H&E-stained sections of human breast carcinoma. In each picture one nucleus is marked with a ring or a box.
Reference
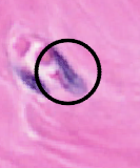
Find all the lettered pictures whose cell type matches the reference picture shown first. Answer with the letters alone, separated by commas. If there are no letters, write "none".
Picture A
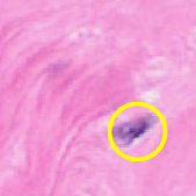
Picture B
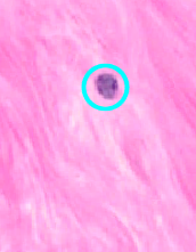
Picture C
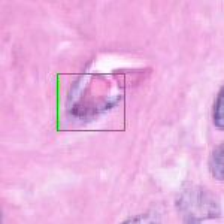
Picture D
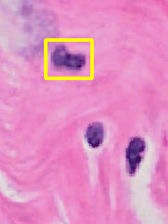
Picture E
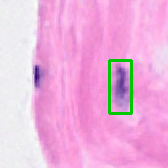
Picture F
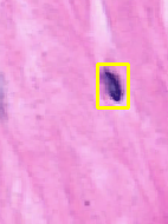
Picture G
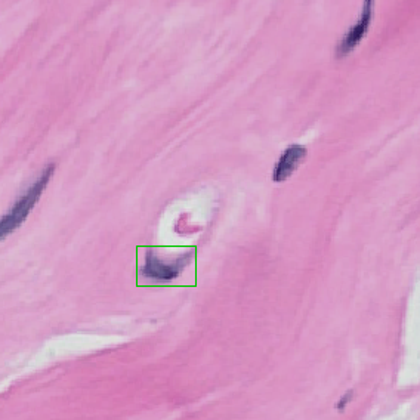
C, G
